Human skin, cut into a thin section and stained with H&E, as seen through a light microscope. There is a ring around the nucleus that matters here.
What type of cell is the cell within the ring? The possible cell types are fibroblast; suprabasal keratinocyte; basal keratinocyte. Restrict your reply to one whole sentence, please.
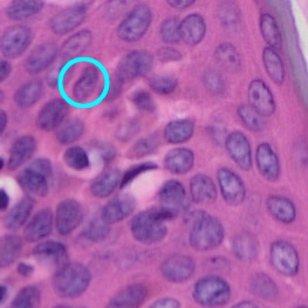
For cell typing purposes, the cell within the ring is a basal keratinocyte.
